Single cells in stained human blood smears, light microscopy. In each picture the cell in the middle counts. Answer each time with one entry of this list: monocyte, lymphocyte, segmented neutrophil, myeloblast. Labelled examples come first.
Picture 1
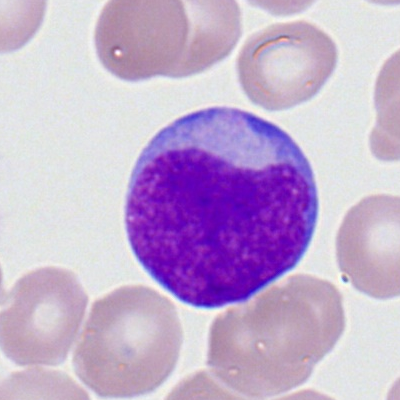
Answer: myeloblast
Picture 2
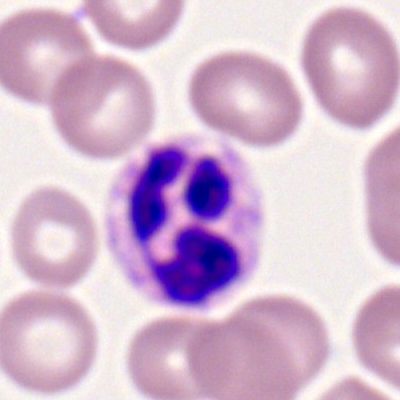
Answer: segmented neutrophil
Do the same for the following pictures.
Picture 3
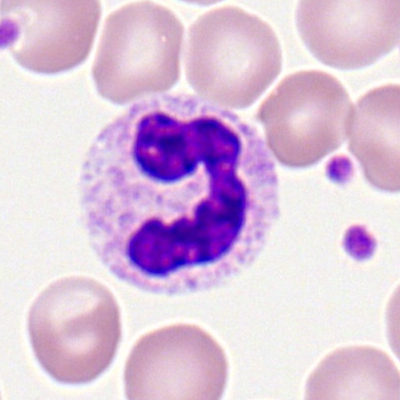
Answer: segmented neutrophil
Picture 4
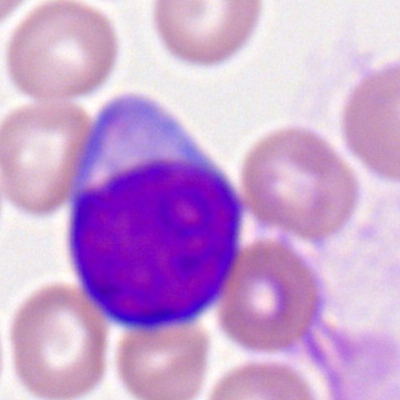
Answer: myeloblast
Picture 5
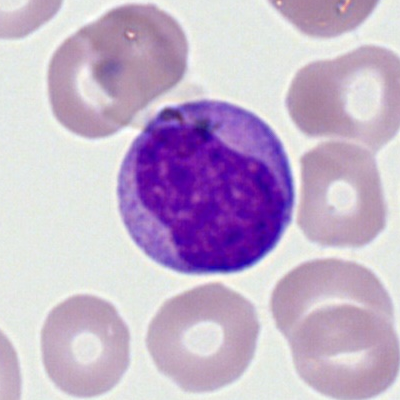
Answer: myeloblast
